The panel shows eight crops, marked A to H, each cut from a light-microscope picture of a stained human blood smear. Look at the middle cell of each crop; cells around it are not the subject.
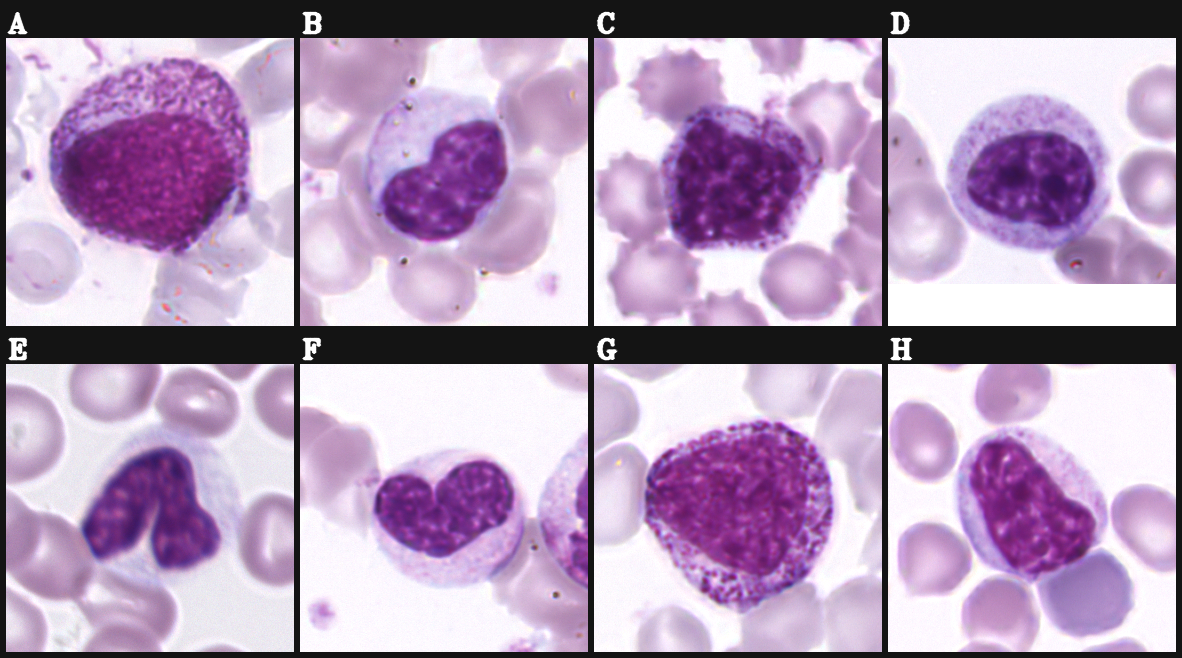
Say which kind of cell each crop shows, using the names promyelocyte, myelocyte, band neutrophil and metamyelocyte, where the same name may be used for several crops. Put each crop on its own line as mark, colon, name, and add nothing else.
A: promyelocyte
B: metamyelocyte
C: myelocyte
D: metamyelocyte
E: band neutrophil
F: band neutrophil
G: myelocyte
H: metamyelocyte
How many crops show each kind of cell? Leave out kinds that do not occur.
metamyelocyte: 3
myelocyte: 2
band neutrophil: 2
promyelocyte: 1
